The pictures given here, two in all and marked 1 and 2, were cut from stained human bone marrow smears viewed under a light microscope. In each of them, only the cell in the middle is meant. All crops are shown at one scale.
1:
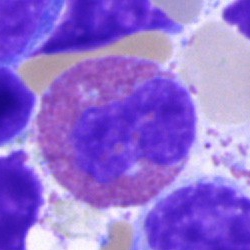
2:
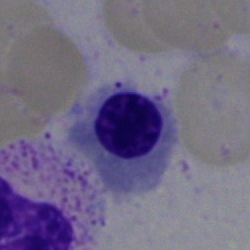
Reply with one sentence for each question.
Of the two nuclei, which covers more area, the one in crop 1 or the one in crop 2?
Crop 1 shows the larger nucleus; it covers about 2.5 times the area of the nucleus in crop 2.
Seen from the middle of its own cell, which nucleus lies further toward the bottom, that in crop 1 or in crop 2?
In crop 1 the nucleus is shifted more toward the bottom.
